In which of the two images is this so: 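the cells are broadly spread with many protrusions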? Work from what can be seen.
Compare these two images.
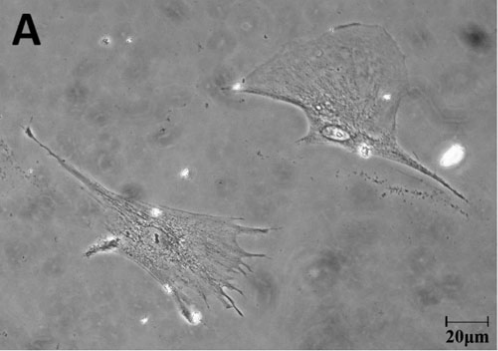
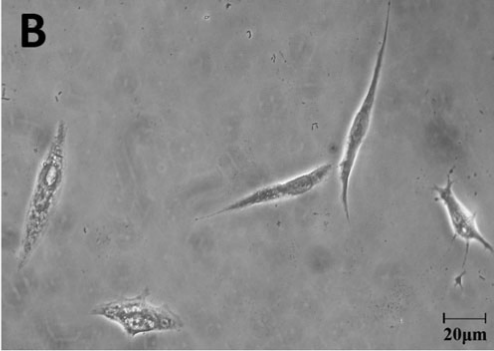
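Second image: cells are narrow, spindle-shaped and elongated with few extensions. First image: cells are large, flat and widely spread with multiple long and short extensions. So: the first image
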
